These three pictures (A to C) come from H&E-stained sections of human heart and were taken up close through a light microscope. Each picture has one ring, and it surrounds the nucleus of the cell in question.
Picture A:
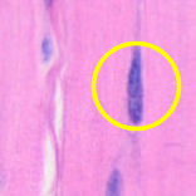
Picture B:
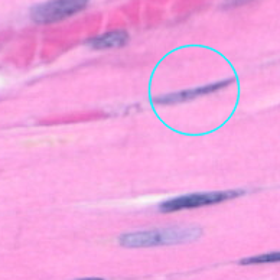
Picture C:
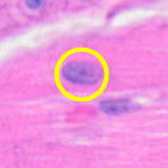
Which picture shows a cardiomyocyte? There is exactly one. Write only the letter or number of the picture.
C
